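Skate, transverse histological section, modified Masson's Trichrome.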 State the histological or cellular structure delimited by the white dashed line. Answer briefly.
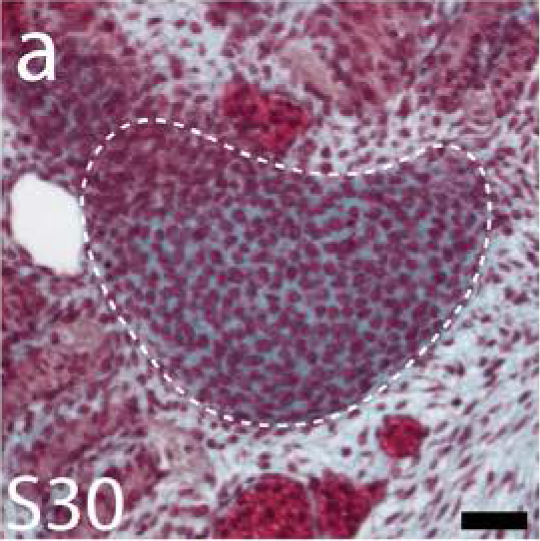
Condensation boundary.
